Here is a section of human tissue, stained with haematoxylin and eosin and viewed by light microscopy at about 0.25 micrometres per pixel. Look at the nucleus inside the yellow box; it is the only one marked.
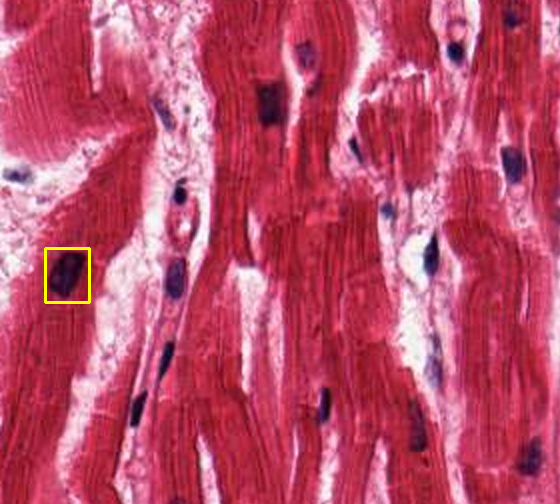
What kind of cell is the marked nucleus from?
cardiomyocyte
